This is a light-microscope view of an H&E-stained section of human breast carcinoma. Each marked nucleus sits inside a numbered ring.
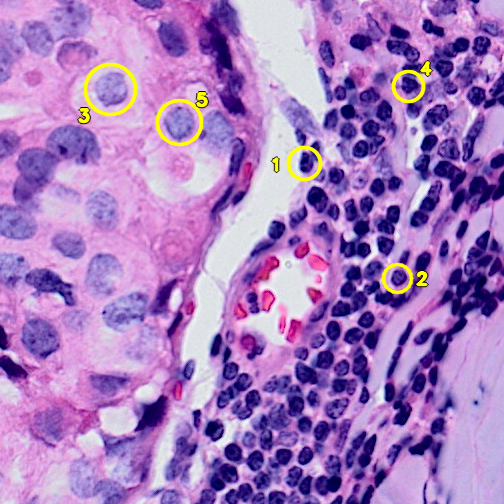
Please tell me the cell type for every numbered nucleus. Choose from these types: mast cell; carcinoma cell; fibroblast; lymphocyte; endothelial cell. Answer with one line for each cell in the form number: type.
1: lymphocyte
2: lymphocyte
3: carcinoma cell
4: lymphocyte
5: carcinoma cell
